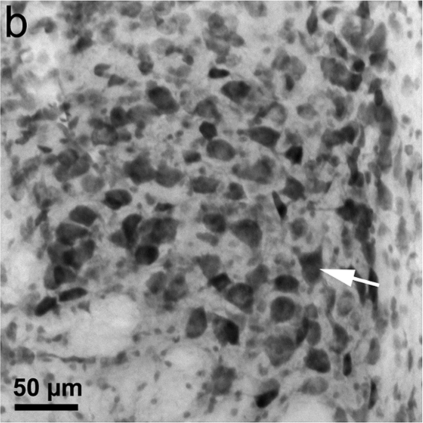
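A dense cluster of large neurons fills most of the field. Much smaller, dark, rounded or elongated nuclei of other cells are scattered in the pale neuropil between the neurons. Toward the lower and left edges, pale rounded areas nearly free of cell bodies interrupt the cluster.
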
